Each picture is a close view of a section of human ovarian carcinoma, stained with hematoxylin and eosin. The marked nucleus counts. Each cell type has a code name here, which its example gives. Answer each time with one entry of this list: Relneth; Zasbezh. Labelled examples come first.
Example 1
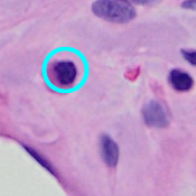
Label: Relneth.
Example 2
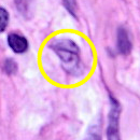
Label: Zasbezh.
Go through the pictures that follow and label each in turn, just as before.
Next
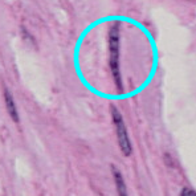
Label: Zasbezh.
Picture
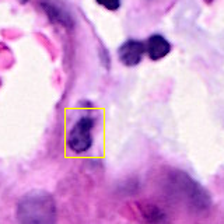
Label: Relneth.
